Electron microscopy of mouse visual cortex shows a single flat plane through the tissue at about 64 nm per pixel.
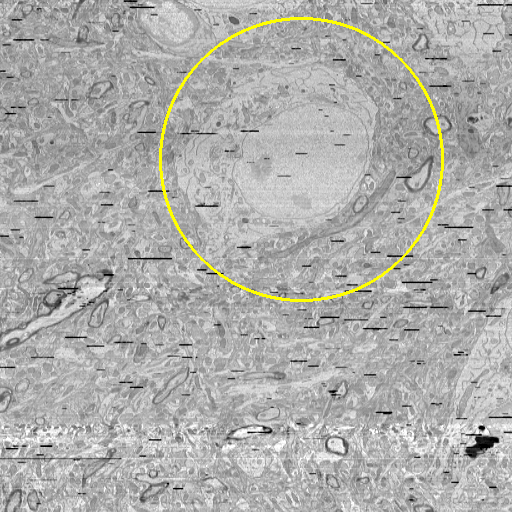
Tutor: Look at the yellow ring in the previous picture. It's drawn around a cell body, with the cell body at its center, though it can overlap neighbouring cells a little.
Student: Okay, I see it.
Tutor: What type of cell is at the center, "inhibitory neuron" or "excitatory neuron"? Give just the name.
excitatory neuron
